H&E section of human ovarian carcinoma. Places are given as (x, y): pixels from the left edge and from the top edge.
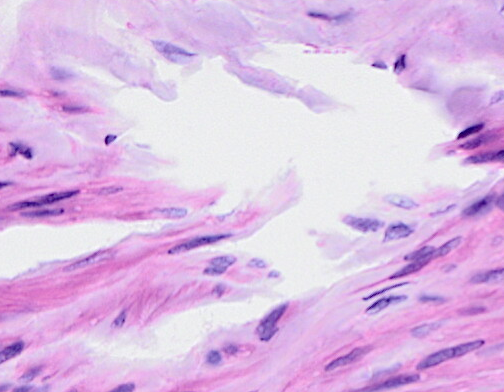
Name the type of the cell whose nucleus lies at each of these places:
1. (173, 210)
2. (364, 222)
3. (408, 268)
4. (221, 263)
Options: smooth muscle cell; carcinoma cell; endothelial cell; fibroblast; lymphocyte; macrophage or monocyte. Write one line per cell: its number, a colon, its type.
1: smooth muscle cell
2: fibroblast
3: smooth muscle cell
4: smooth muscle cell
